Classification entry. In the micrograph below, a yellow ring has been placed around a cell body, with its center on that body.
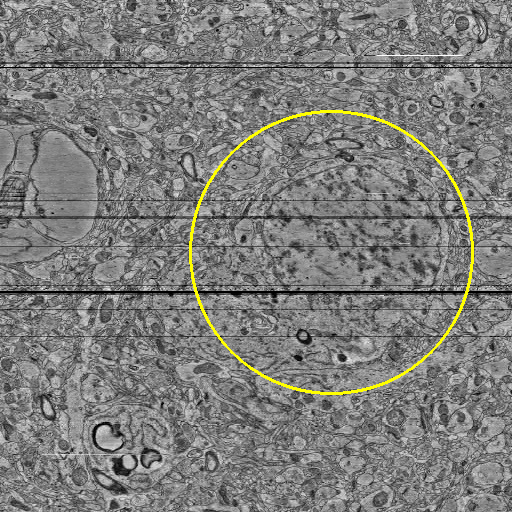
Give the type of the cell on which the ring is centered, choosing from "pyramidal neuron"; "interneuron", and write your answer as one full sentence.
The cell body at the center of the yellow ring belongs to an interneuron.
